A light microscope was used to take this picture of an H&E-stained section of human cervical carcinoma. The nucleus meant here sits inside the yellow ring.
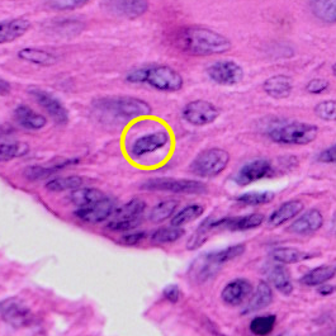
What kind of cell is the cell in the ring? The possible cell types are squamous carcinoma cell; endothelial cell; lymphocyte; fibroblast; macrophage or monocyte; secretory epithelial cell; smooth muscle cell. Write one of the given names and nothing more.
squamous carcinoma cell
